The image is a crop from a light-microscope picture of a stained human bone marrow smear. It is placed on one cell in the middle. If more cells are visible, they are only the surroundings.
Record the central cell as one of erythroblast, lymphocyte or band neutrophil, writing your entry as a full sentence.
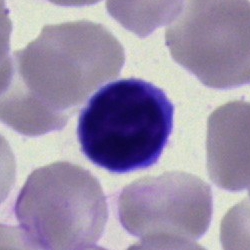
The cell centered in this field of view is a lymphocyte.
